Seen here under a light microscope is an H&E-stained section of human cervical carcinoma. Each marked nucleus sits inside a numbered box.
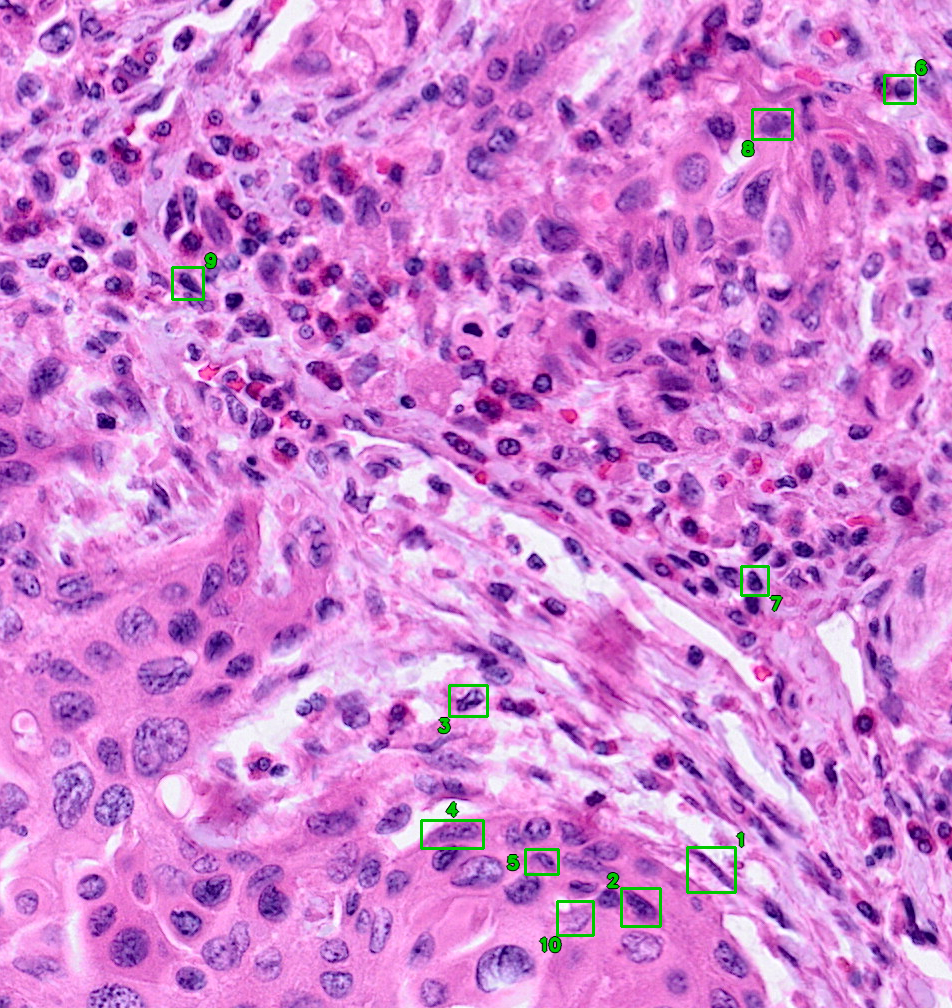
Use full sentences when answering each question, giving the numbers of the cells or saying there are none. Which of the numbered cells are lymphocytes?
Identification: the cells with numbers 3, 6, 7 and 9 are lymphocytes.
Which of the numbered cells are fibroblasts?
Only the cell numbered 1 is a fibroblast, and the others are something else.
